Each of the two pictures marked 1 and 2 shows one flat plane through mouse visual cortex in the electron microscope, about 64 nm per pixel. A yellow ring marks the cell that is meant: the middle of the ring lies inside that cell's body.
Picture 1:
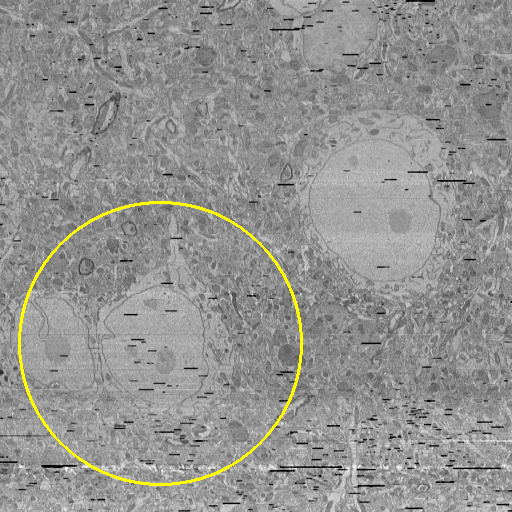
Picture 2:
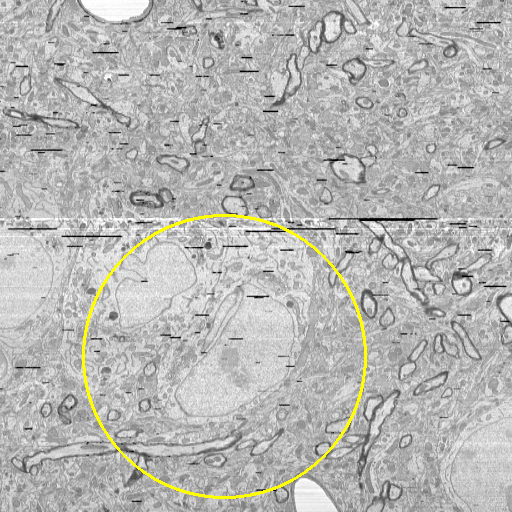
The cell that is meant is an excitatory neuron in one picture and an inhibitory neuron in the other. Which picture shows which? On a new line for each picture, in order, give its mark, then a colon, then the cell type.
1: excitatory neuron
2: inhibitory neuron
